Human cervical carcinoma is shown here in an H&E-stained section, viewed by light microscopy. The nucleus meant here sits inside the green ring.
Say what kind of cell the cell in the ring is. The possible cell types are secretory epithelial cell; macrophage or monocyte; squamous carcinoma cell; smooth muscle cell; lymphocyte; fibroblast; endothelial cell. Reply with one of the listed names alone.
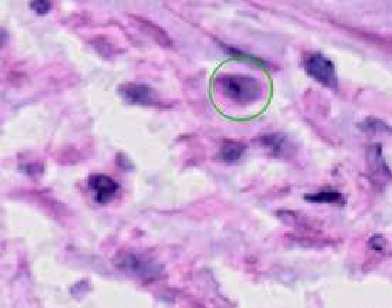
macrophage or monocyte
